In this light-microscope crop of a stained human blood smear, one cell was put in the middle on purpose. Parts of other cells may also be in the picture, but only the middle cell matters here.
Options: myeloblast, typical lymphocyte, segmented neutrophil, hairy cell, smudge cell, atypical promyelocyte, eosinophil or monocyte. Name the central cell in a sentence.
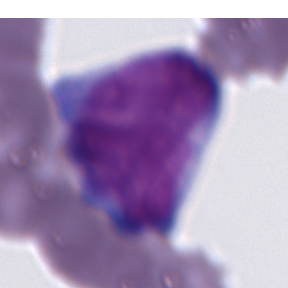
Classification of the middle cell gives a myeloblast.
